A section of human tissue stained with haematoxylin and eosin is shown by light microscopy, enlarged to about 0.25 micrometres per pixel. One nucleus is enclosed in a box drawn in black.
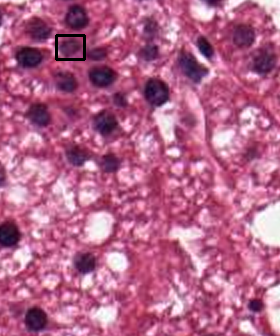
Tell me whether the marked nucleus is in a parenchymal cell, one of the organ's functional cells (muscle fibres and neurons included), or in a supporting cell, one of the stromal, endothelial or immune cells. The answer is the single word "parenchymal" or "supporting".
parenchymal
